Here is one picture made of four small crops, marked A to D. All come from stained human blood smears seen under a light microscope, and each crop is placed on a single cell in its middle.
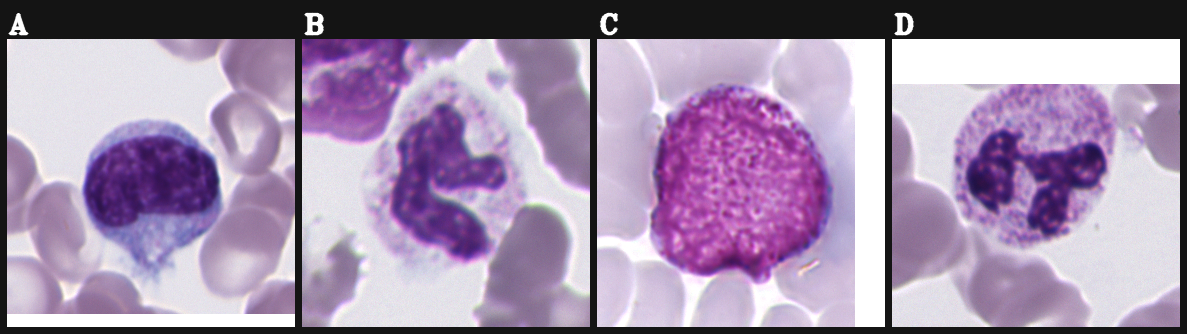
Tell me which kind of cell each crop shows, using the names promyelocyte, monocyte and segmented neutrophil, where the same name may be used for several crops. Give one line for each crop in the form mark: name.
A: monocyte
B: segmented neutrophil
C: promyelocyte
D: segmented neutrophil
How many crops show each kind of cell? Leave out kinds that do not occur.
segmented neutrophil: 2
monocyte: 1
promyelocyte: 1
